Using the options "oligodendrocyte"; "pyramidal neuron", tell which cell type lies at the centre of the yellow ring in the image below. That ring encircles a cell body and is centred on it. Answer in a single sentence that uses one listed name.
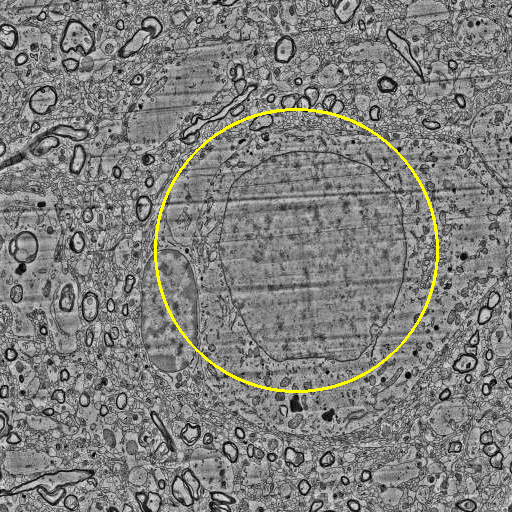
At the centre of the yellow ring lies the body of a pyramidal neuron.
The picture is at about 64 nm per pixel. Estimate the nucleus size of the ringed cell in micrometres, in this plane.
The ringed cell's nucleus is about 13 micrometres across in this plane.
